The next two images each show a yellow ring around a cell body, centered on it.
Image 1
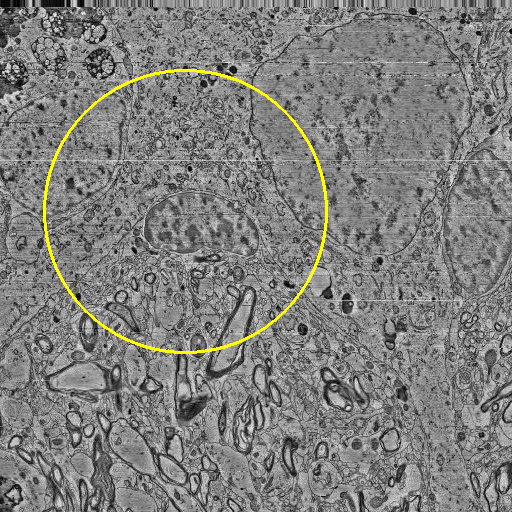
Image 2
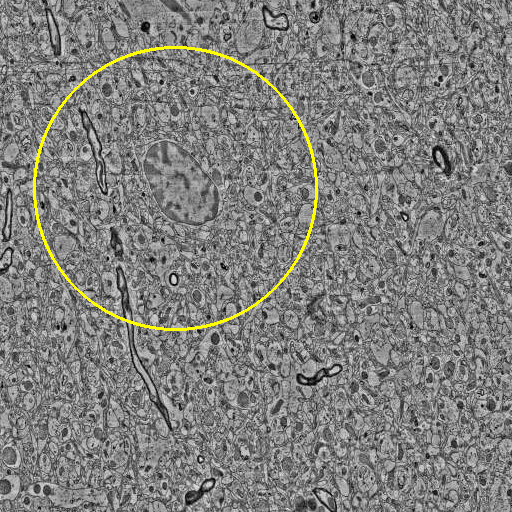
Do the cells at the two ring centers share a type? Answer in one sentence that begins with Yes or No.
Yes, across the two images the cells at the ring centers share one type.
